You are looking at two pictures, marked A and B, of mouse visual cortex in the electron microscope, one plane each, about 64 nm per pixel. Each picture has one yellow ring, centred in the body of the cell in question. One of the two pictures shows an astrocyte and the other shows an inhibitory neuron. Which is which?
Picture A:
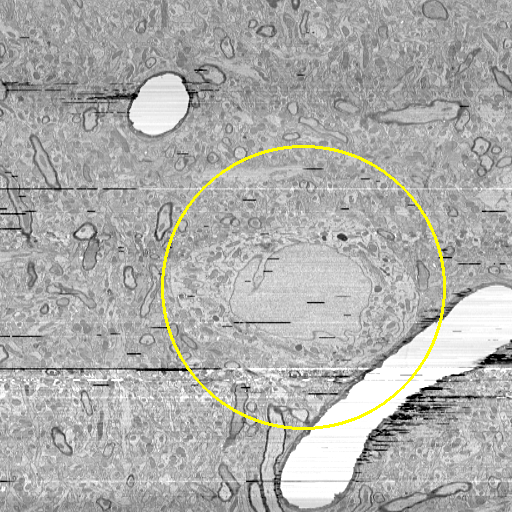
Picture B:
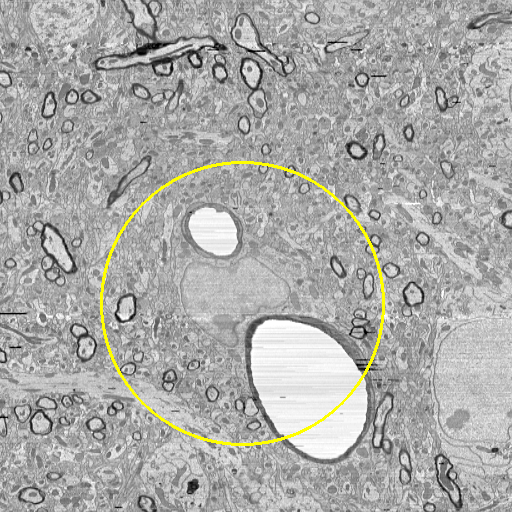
Picture A shows an inhibitory neuron and picture B shows an astrocyte.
